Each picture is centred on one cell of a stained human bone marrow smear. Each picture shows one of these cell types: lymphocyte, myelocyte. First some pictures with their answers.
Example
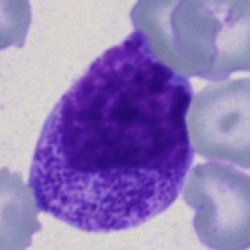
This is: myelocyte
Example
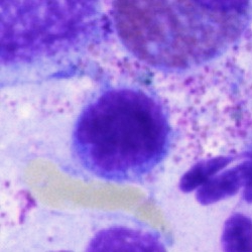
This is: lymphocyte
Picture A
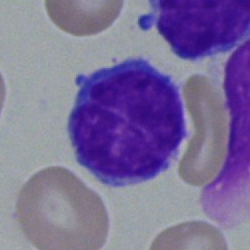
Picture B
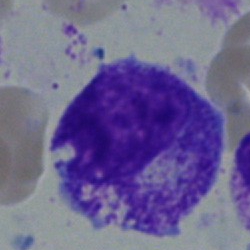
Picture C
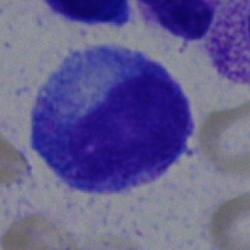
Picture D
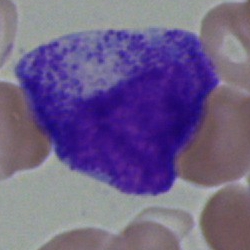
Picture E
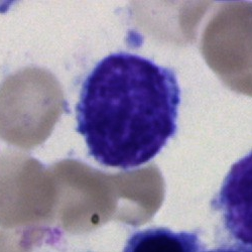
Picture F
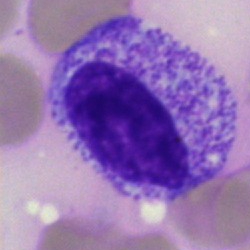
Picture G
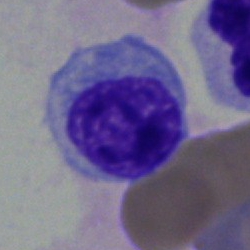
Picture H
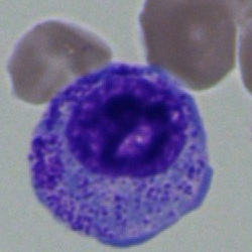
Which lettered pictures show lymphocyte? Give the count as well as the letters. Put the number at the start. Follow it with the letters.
2, namely A, E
